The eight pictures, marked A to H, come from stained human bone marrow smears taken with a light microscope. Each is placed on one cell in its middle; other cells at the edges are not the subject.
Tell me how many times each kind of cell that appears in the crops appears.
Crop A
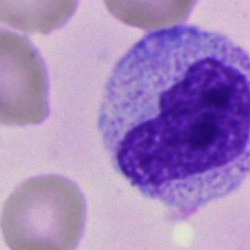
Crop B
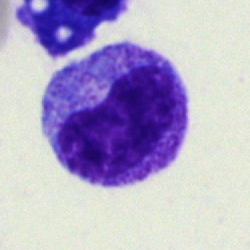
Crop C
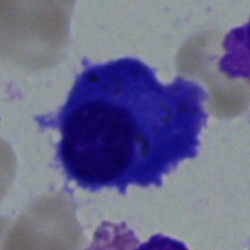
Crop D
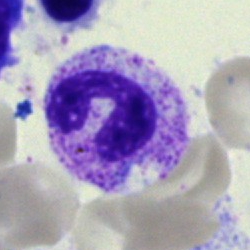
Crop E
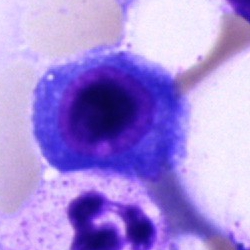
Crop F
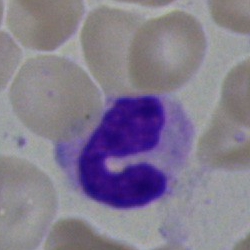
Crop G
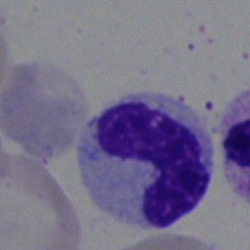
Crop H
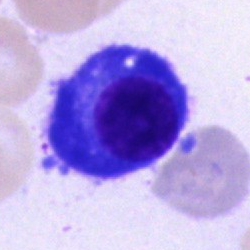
plasma cell: 3
band neutrophil: 3
metamyelocyte: 2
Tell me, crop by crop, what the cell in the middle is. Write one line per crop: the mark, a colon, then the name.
A: metamyelocyte
B: metamyelocyte
C: plasma cell
D: band neutrophil
E: plasma cell
F: band neutrophil
G: band neutrophil
H: plasma cell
